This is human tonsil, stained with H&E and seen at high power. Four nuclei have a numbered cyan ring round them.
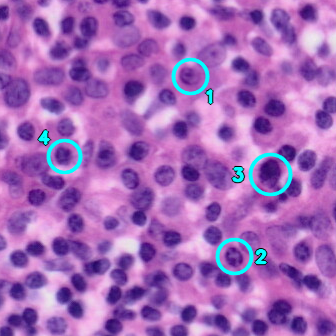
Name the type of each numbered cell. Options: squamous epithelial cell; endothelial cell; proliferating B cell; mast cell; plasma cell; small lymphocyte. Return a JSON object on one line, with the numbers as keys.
{"1": "plasma cell", "2": "plasma cell", "3": "squamous epithelial cell", "4": "plasma cell"}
